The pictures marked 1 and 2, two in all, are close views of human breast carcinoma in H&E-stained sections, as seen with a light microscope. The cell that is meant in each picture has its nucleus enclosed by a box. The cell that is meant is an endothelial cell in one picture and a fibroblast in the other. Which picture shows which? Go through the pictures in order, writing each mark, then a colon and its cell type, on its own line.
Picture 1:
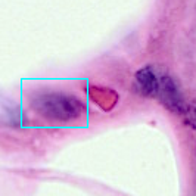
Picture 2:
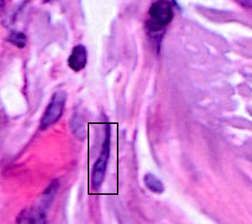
1: endothelial cell
2: fibroblast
